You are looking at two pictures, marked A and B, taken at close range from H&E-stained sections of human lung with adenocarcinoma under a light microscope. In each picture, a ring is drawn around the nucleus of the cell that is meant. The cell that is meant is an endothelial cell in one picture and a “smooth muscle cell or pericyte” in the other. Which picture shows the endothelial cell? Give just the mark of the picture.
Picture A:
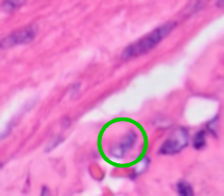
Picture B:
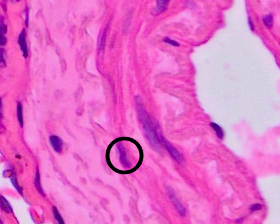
A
